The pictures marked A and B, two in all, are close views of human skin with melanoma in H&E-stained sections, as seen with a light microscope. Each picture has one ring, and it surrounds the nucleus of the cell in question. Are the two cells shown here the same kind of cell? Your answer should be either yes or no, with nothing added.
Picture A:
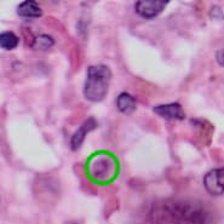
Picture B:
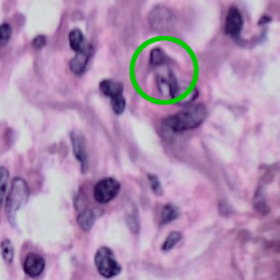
no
